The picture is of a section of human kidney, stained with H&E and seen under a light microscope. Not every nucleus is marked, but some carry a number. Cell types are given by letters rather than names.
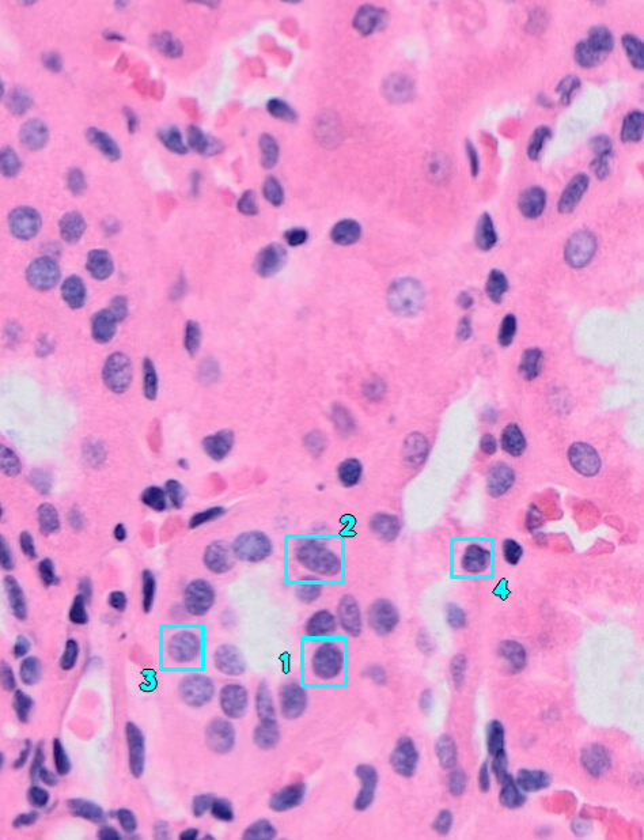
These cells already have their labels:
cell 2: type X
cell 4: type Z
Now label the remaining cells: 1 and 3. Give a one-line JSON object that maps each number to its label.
{"1": "type X", "3": "type X"}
